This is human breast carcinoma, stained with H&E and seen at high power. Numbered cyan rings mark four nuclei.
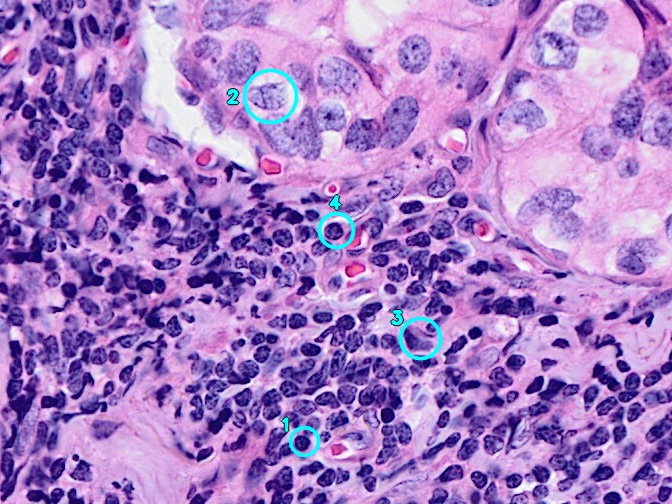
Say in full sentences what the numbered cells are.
Cells 1, 3 and 4 are lymphocytes. Cell 2 is a carcinoma cell.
